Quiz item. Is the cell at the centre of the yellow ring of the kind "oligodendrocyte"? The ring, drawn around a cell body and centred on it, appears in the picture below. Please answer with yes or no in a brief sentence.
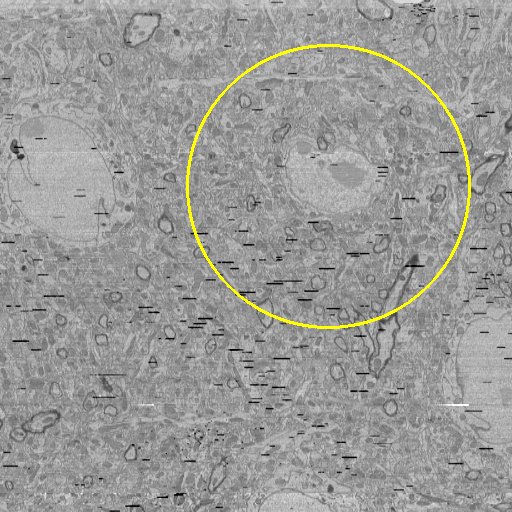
No, it is another kind of cell.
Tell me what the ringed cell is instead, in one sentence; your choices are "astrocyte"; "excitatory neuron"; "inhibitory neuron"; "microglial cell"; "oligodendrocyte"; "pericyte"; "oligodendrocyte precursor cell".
Instead, the cell inside the ring is an oligodendrocyte precursor cell.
